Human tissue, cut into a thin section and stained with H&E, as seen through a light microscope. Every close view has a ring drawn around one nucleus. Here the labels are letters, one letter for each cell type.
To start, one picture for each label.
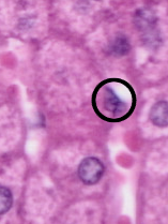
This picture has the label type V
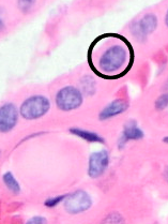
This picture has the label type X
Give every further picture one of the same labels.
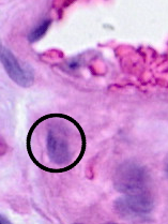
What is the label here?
type V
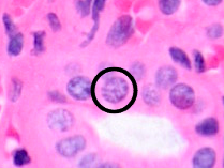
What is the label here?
type X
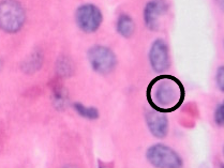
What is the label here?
type X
